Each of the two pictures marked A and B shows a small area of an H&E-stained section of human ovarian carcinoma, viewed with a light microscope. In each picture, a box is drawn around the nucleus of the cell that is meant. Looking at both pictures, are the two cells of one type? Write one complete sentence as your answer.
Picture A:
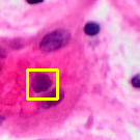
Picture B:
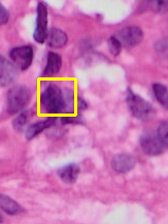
No, picture A shows an endothelial cell and picture B shows a carcinoma cell.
